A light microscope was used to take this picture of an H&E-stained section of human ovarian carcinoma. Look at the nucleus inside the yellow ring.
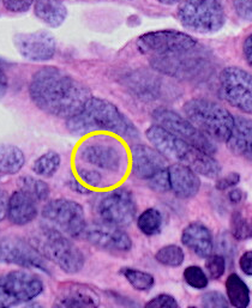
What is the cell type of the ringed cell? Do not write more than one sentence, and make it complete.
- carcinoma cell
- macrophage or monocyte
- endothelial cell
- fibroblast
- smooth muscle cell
Just put down that the ringed cell is a carcinoma cell.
